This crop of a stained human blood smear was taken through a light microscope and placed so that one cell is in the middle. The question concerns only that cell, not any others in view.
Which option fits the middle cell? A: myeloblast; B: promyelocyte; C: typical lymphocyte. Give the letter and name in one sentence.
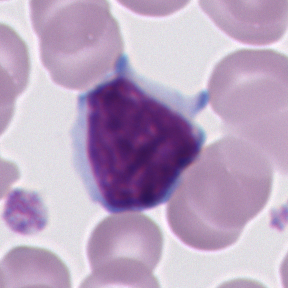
Since the middle cell is a typical lymphocyte, option C is the right one.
